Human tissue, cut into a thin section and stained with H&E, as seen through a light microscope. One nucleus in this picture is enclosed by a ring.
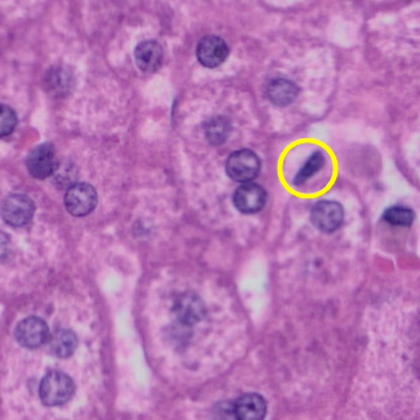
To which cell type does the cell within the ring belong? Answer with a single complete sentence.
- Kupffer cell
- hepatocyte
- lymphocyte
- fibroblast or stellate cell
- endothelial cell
It is as a lymphocyte that the cell within the ring is classified.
